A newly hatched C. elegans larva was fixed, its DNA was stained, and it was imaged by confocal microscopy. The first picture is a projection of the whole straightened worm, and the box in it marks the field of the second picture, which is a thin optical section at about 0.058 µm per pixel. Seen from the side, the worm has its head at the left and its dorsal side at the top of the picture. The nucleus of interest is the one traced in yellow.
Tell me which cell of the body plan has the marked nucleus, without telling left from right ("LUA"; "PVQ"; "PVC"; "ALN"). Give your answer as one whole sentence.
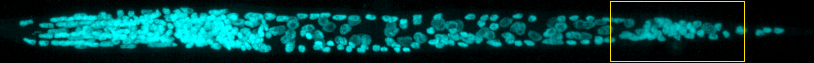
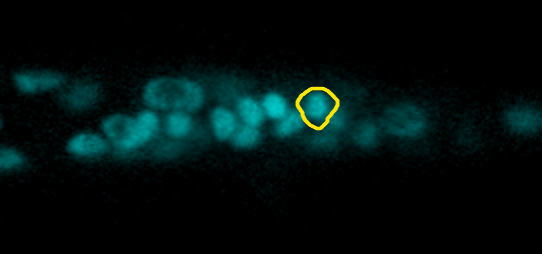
The nucleus is from ALN, a neuron.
